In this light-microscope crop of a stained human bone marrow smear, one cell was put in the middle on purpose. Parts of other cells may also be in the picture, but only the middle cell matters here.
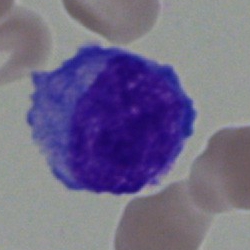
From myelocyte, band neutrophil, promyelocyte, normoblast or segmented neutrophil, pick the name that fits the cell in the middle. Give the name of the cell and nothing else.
promyelocyte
